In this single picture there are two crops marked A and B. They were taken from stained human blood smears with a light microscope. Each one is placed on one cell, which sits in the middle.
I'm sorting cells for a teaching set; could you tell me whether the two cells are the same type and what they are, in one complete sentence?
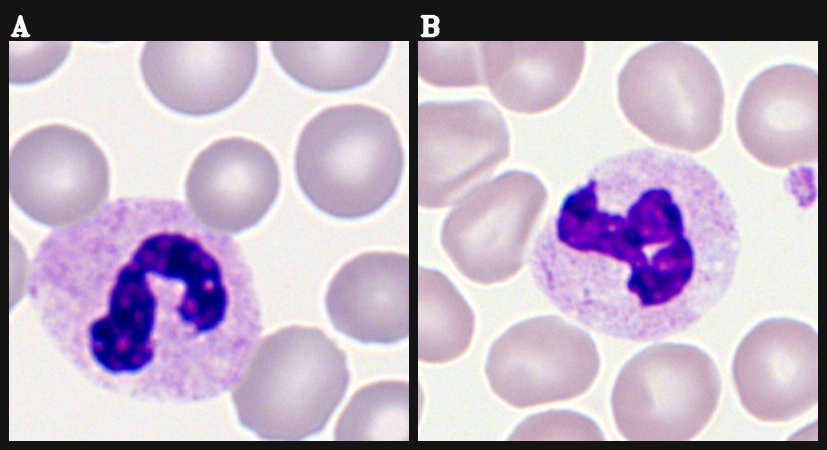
Yes, the centred cells are segmented neutrophils in both crops.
